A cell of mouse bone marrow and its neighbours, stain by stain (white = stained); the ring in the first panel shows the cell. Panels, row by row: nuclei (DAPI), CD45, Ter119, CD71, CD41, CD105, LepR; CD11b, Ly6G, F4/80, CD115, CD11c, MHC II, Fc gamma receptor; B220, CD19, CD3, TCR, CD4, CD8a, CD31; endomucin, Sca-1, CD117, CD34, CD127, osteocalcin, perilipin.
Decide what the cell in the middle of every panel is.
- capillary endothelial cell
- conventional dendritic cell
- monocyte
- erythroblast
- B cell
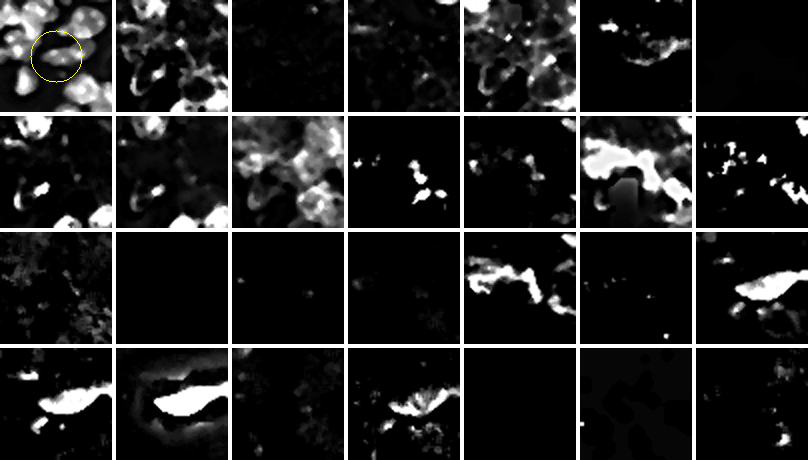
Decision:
capillary endothelial cell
